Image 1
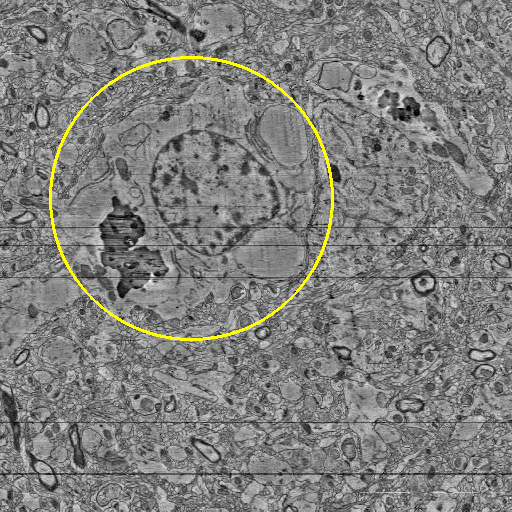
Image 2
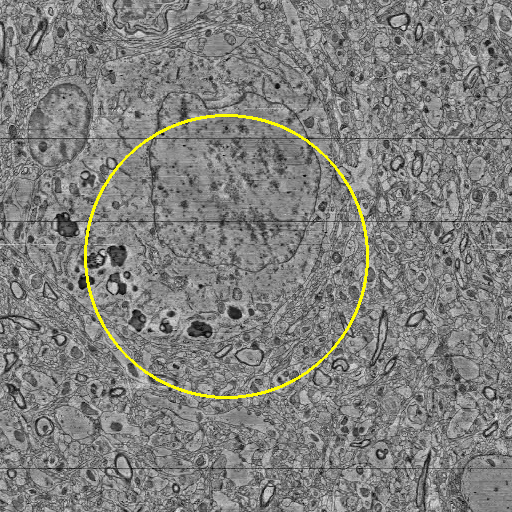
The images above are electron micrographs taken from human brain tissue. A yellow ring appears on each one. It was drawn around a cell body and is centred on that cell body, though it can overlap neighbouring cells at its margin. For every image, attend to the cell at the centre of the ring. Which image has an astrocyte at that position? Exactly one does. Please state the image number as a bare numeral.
1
